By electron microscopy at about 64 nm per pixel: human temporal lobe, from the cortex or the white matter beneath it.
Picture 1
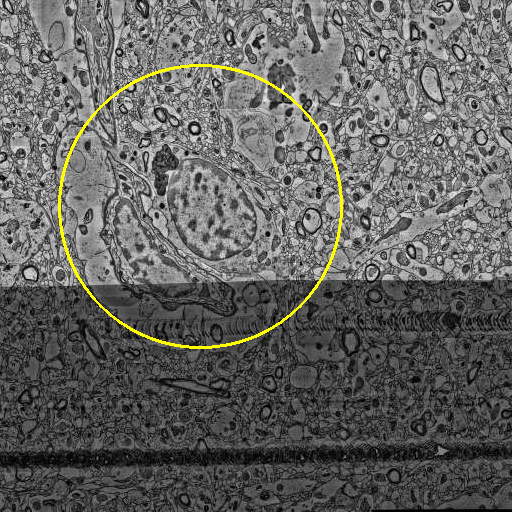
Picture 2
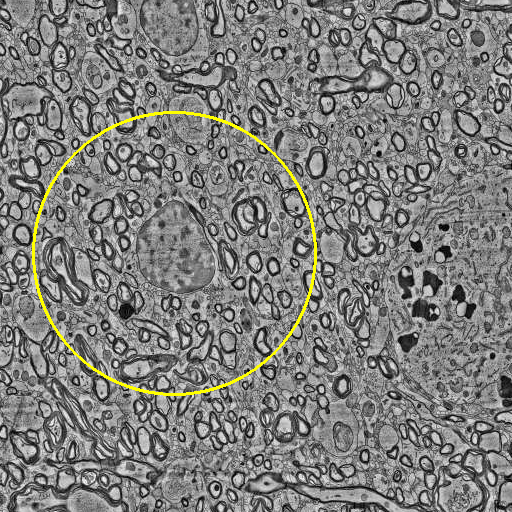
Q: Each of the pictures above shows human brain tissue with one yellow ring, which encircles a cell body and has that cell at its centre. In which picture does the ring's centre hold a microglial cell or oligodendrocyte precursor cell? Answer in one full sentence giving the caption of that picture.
Picture 2 is the one whose ring is centred on the cell in question.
